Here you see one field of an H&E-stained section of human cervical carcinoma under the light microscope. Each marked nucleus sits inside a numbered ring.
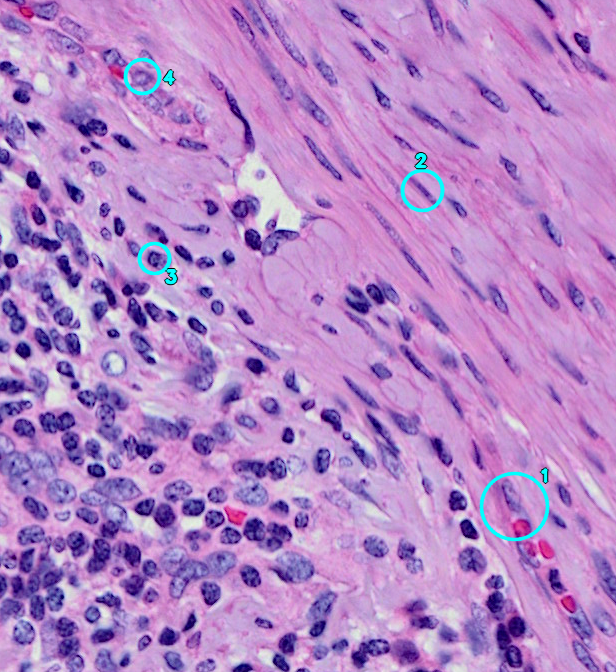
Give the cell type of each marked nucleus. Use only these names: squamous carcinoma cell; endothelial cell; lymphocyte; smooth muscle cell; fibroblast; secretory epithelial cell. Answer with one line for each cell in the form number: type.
1: endothelial cell
2: smooth muscle cell
3: lymphocyte
4: endothelial cell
